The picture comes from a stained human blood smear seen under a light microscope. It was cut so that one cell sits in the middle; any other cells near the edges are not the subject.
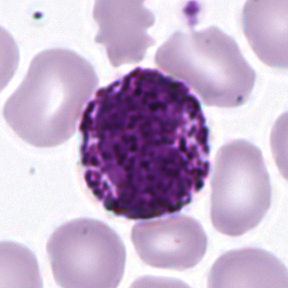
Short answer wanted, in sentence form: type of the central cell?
Here the cell in the middle is a basophil.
